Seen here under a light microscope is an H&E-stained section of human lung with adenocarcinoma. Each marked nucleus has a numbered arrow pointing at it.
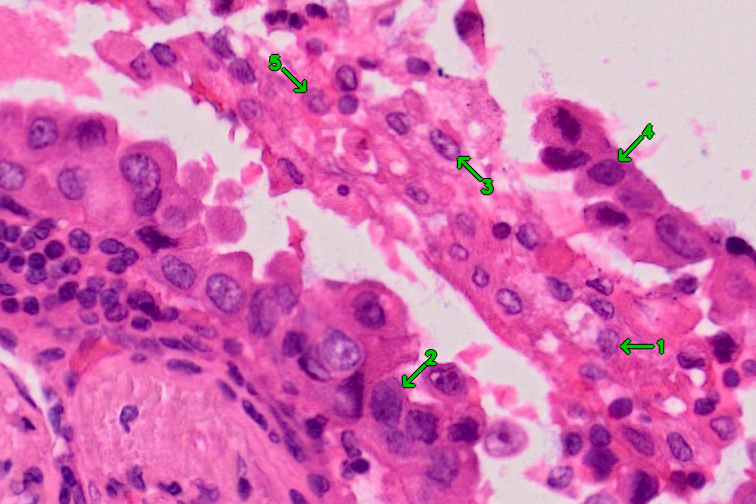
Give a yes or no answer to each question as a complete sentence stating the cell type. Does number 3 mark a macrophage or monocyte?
Yes, the one numbered 3 is a macrophage or monocyte.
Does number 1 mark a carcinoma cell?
No, the right label for cell 1 is a macrophage or monocyte rather than a carcinoma cell.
